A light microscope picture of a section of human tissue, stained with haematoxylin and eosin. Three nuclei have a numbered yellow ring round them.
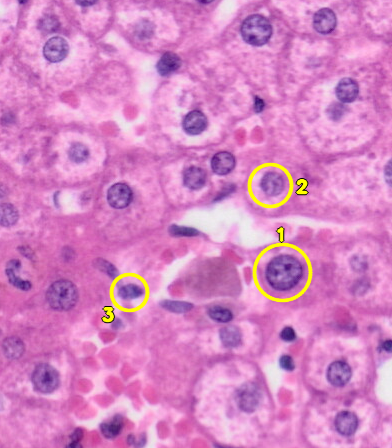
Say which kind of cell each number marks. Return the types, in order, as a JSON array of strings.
["hepatocyte", "hepatocyte", "fibroblast or stellate cell"]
